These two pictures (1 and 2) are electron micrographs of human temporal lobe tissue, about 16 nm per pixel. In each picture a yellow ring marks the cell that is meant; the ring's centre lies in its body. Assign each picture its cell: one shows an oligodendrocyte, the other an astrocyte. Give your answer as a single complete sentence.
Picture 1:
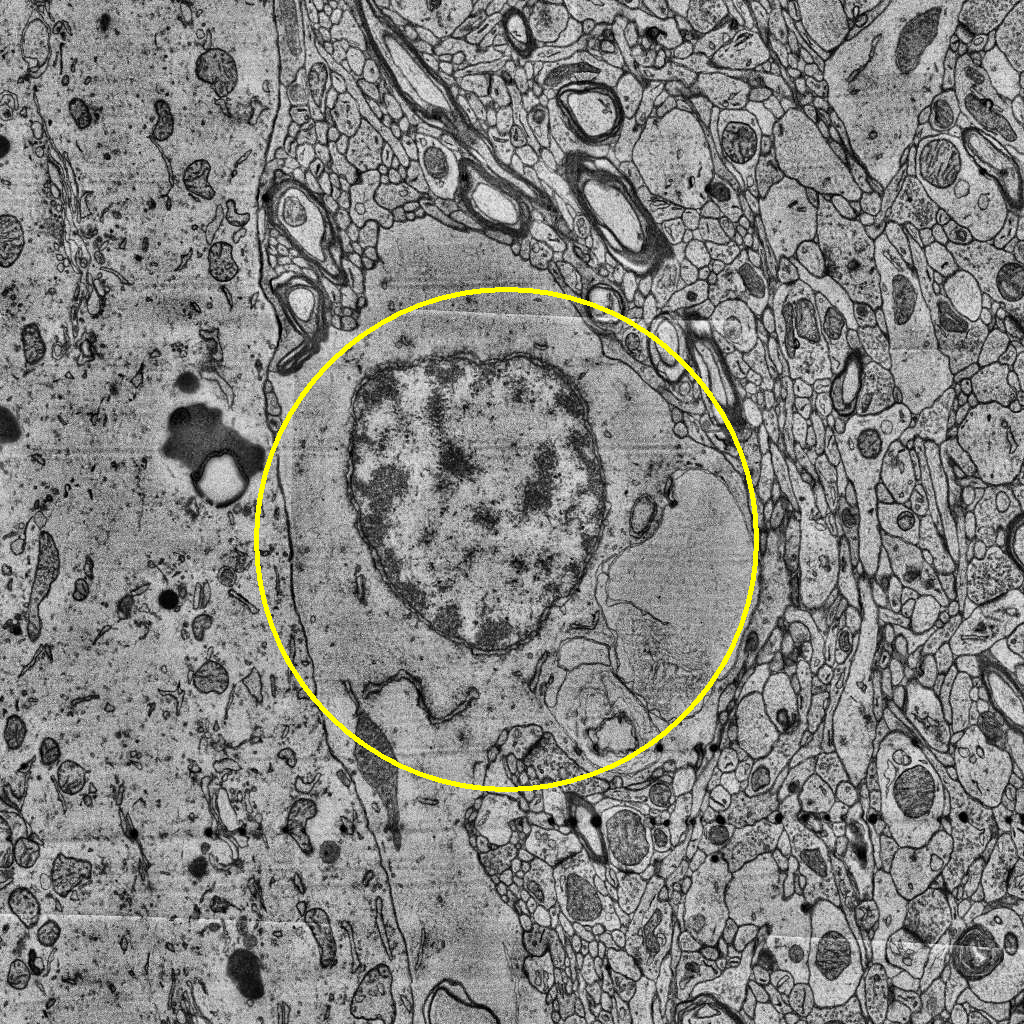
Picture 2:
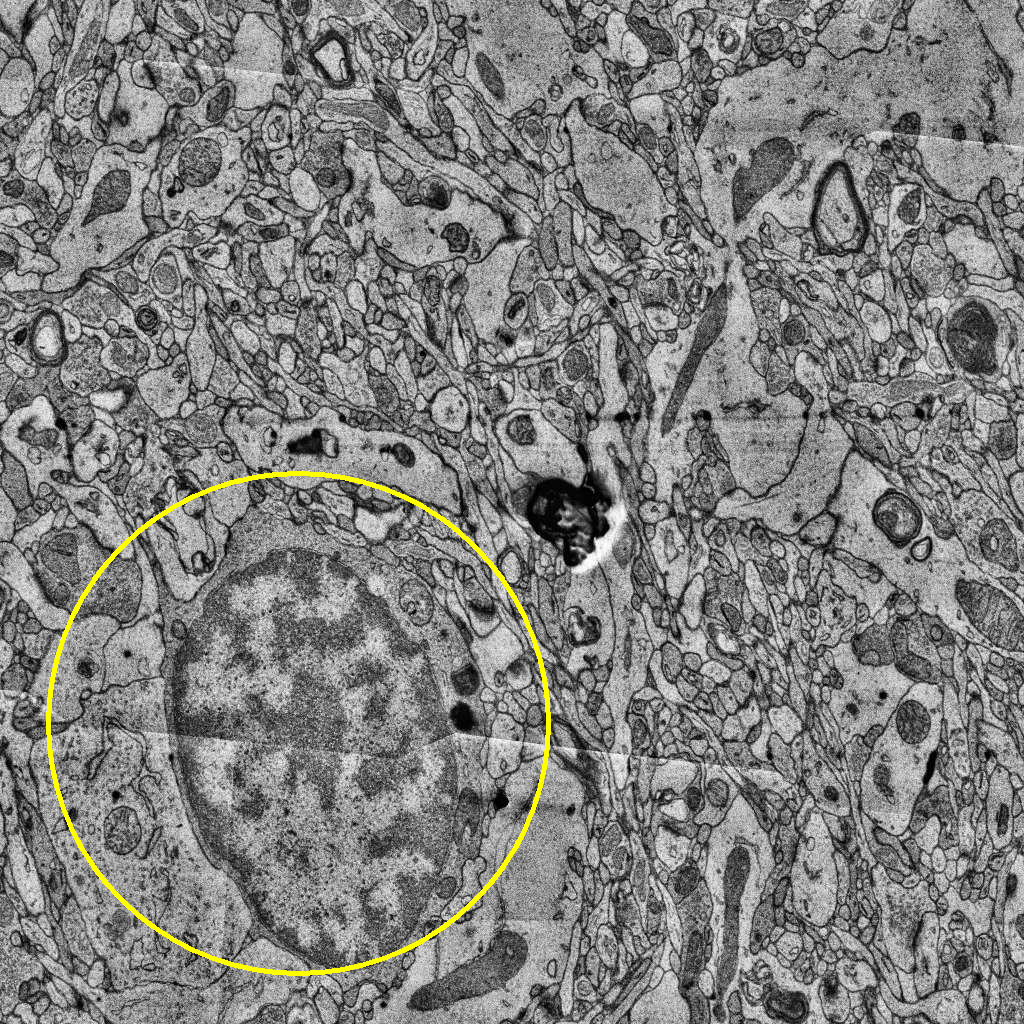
In picture 1 the cell is an astrocyte; in picture 2, an oligodendrocyte.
